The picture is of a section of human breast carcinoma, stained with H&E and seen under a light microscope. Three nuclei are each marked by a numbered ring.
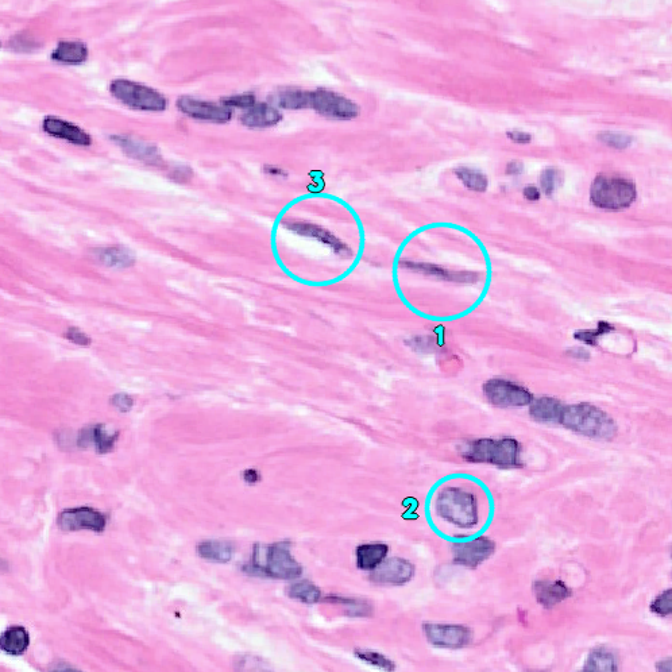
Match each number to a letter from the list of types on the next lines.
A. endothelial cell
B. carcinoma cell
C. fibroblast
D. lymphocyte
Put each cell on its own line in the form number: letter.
1: C
2: B
3: C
